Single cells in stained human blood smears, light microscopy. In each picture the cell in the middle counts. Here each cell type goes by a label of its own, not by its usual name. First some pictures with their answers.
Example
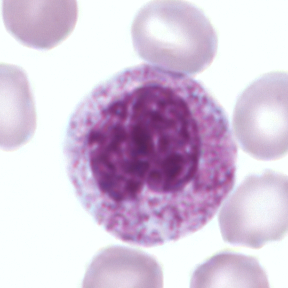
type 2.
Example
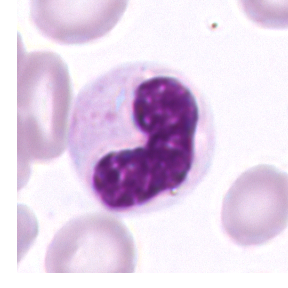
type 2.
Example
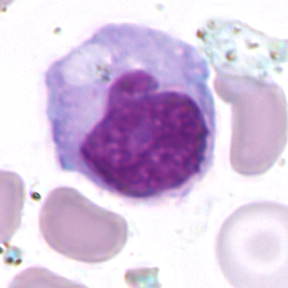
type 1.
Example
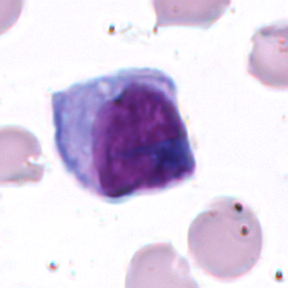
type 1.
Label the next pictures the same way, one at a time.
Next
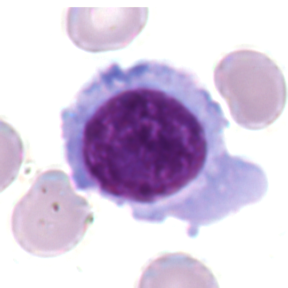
type 1.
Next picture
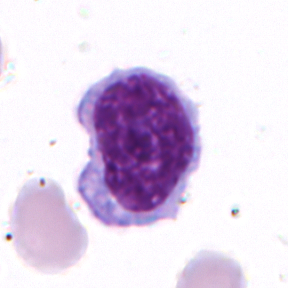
type 1.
